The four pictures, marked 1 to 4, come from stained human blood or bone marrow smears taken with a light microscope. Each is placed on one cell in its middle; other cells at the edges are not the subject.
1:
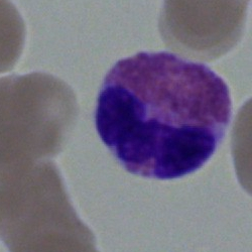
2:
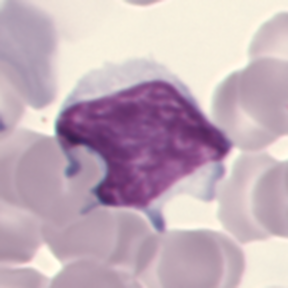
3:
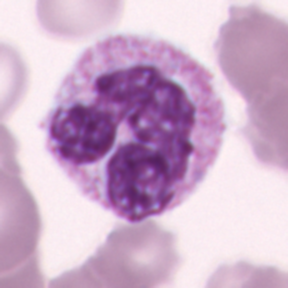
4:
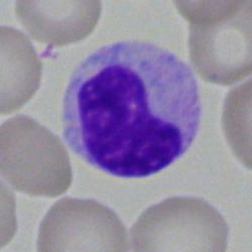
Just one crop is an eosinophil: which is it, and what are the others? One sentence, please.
Among these crops, crop 1 shows an eosinophil, while crop 2 is a lymphocyte, crop 3 is a segmented neutrophil and crop 4 is a metamyelocyte.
